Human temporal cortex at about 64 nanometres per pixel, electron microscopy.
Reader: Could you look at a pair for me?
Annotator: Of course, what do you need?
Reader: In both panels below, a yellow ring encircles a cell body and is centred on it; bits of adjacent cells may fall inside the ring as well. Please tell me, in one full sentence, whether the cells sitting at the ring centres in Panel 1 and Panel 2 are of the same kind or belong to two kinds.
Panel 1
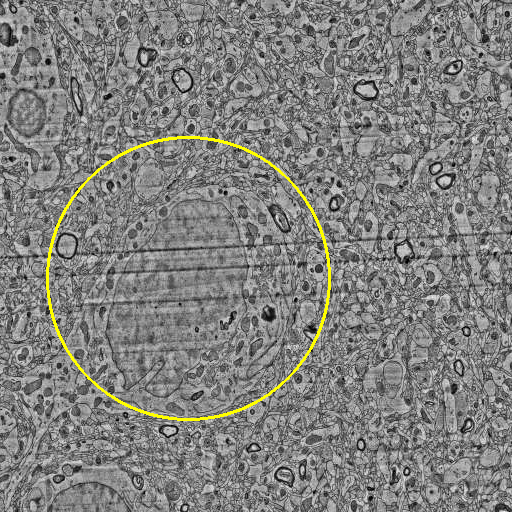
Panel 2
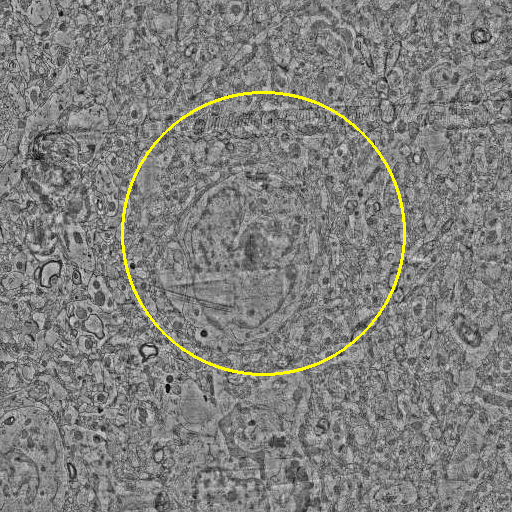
The cell at the ring's centre in Panel 1 and the one in Panel 2 are of the same kind.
